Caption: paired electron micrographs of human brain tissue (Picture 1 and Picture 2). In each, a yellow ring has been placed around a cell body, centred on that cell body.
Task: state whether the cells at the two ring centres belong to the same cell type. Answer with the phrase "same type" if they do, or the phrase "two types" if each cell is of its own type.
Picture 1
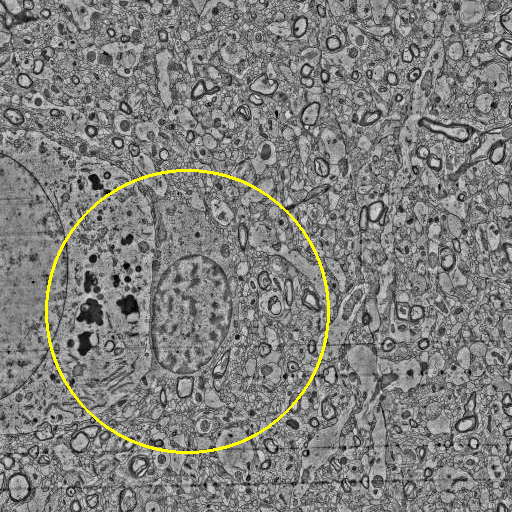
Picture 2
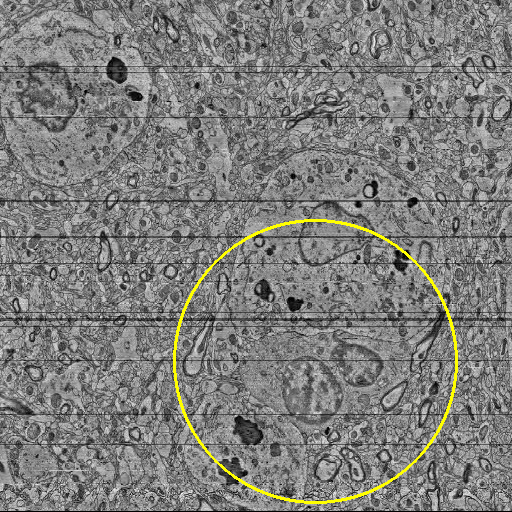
same type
